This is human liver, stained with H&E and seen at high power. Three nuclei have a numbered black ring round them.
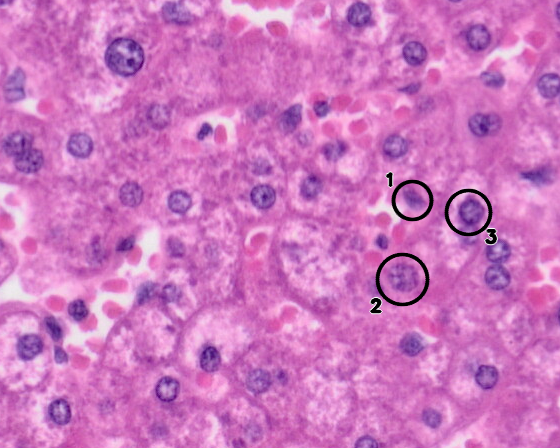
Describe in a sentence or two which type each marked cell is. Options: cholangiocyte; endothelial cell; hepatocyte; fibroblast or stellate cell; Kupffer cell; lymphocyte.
Cell 1 is an endothelial cell, cell 2 is a hepatocyte and cell 3 is a hepatocyte.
